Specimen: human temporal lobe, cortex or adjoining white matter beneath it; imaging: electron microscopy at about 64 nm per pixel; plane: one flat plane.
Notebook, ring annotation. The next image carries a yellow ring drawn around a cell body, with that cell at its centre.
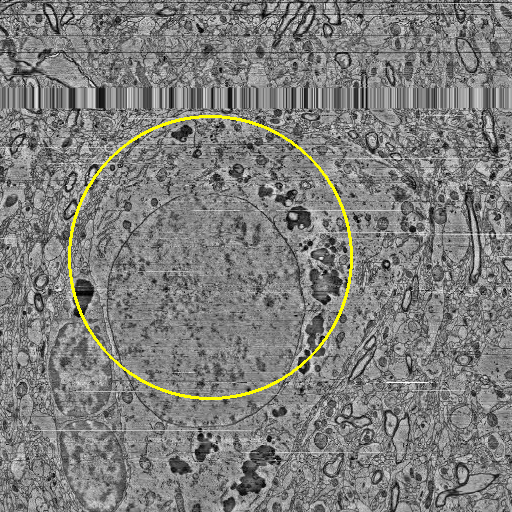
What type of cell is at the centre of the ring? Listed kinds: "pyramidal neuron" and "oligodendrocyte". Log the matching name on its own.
pyramidal neuron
